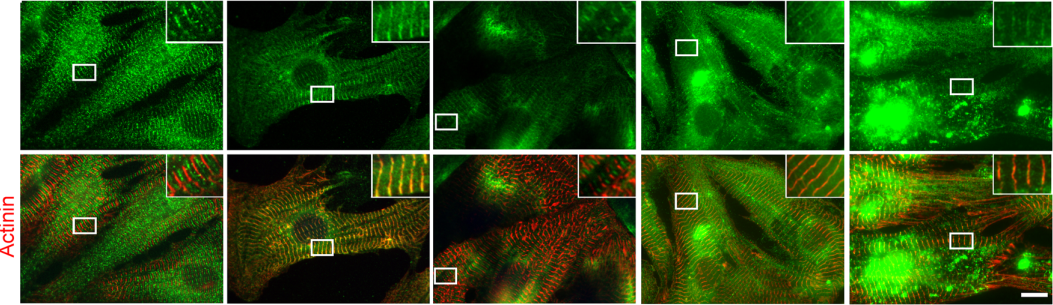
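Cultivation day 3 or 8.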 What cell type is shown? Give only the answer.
Cardiomyocytes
